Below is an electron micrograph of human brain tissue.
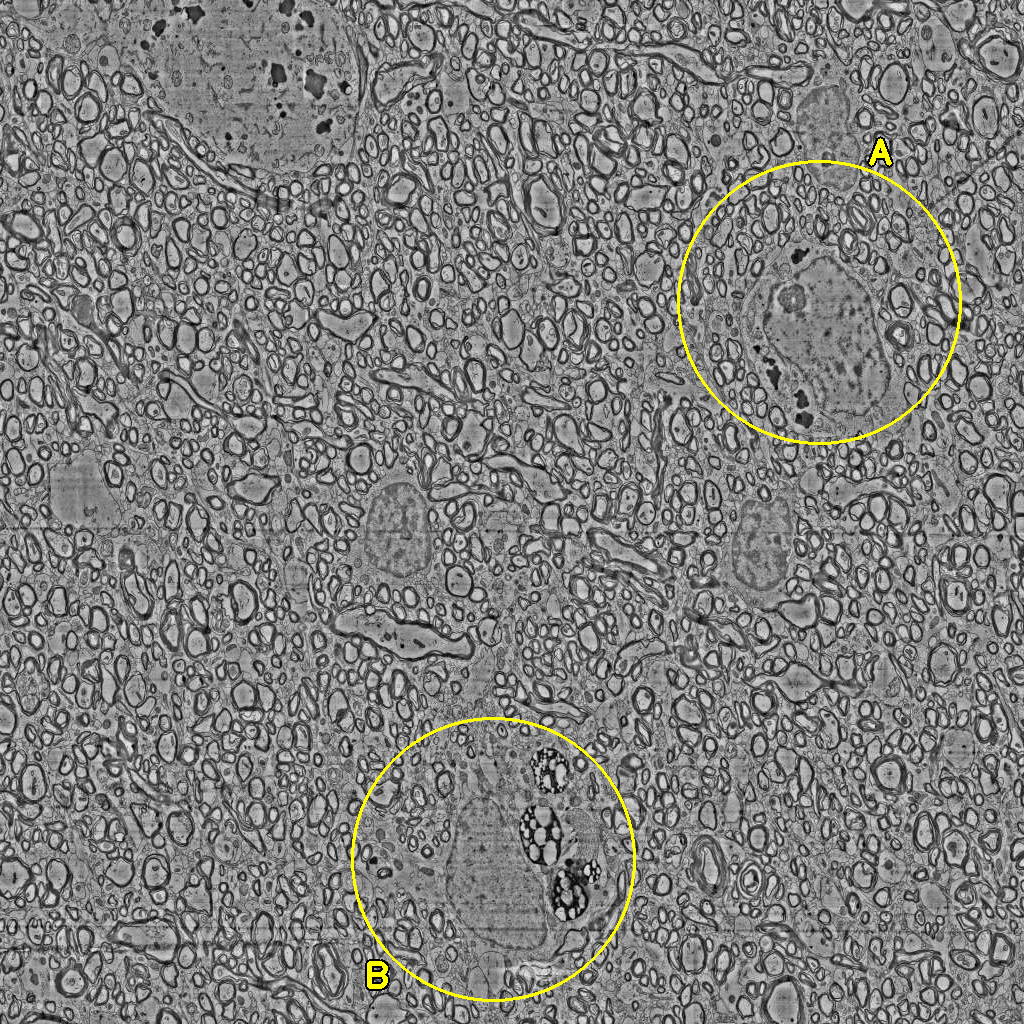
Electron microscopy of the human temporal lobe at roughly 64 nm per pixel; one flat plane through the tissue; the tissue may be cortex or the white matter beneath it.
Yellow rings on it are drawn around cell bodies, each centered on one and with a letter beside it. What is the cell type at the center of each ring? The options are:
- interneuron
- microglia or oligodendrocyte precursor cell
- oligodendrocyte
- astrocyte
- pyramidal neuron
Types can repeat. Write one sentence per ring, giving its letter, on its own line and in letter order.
At the center of ring A is an interneuron.
At the center of ring B is an astrocyte.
